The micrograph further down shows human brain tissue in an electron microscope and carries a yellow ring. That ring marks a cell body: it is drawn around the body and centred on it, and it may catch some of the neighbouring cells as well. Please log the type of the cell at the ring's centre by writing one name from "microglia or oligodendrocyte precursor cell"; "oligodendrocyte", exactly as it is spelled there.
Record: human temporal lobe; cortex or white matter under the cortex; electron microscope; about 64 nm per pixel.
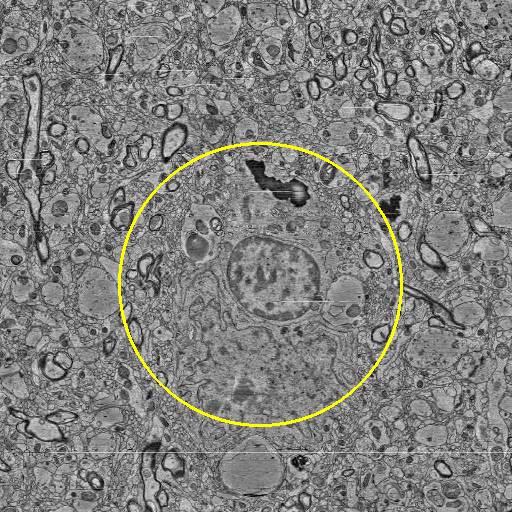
oligodendrocyte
